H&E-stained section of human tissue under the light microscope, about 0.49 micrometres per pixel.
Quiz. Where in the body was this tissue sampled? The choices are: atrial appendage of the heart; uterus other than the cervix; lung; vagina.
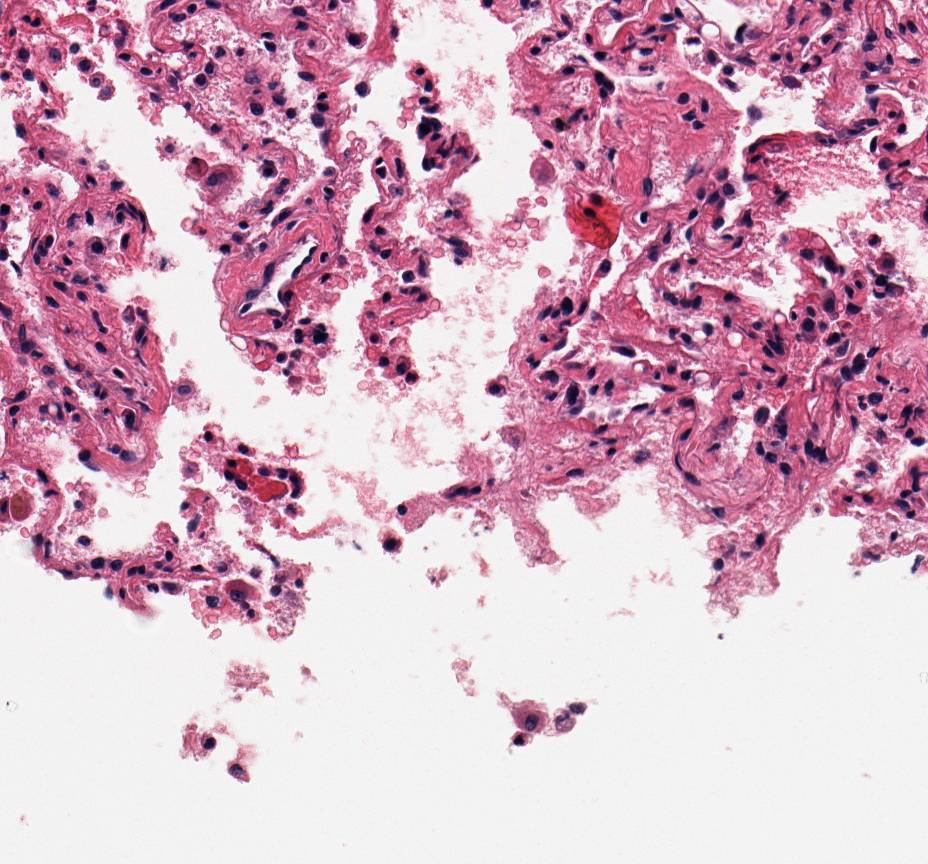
lung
